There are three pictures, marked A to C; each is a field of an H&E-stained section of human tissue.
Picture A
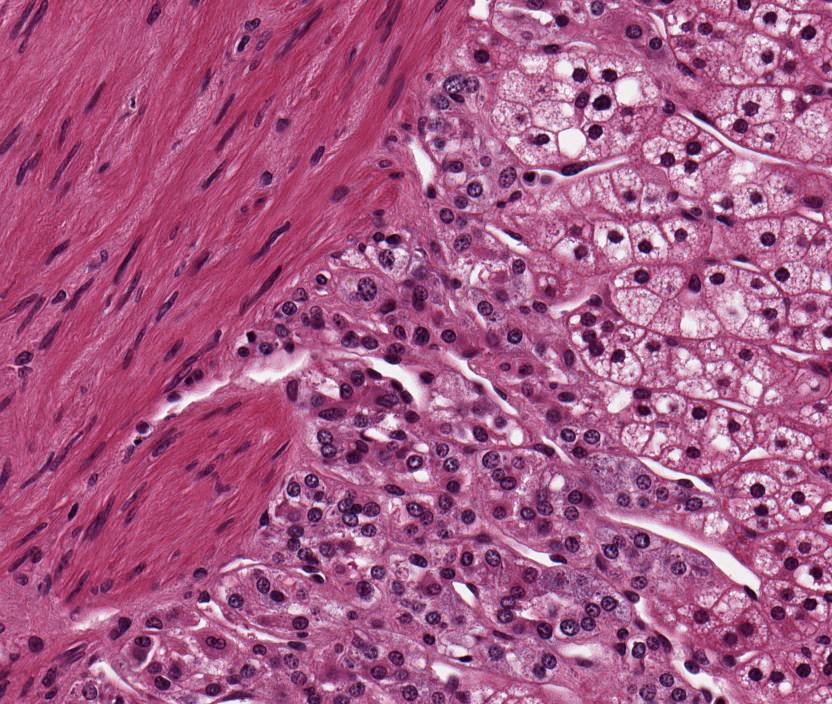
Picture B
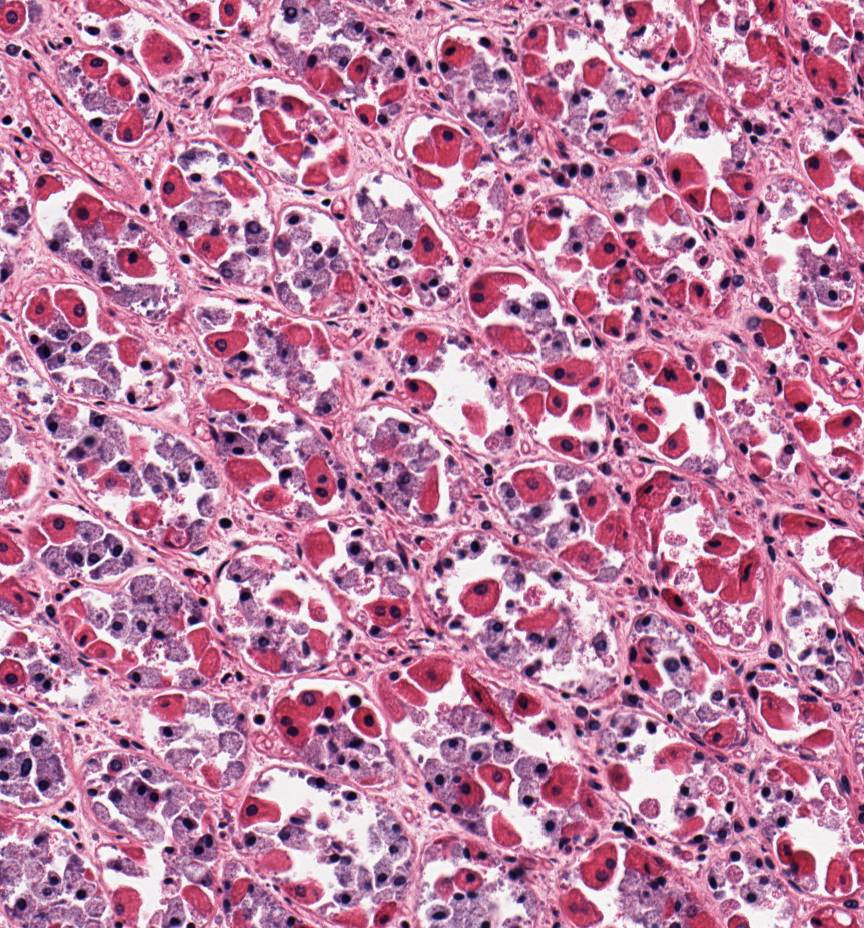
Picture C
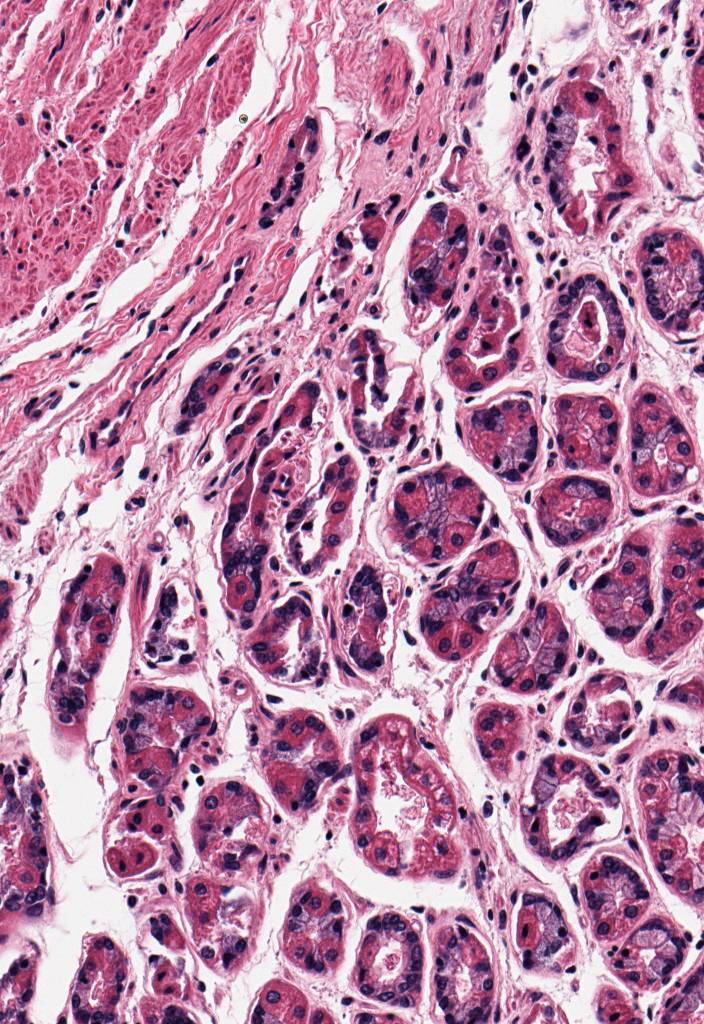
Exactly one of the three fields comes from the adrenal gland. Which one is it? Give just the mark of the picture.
A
